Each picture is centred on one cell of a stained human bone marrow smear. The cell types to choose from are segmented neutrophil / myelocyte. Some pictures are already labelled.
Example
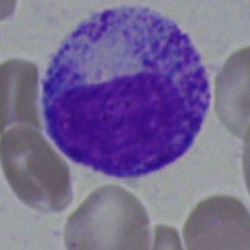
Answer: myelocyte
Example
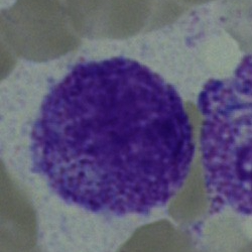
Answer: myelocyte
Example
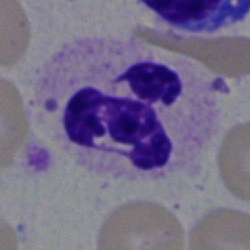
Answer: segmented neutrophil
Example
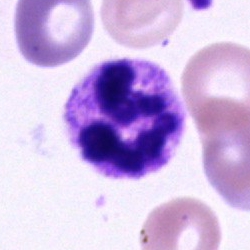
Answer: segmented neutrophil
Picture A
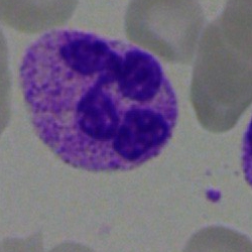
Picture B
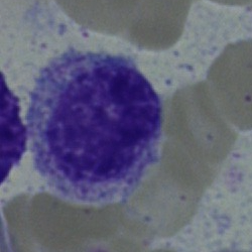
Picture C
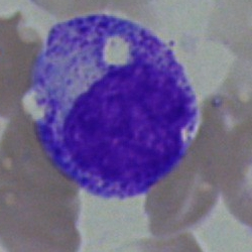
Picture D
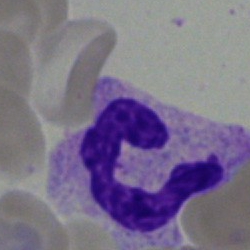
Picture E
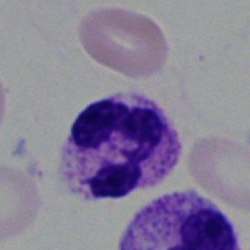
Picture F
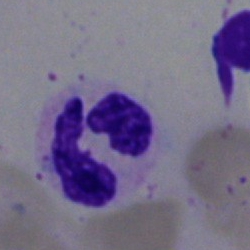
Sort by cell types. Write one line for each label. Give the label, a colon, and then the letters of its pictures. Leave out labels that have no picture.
segmented neutrophil: A, D, E, F
myelocyte: B, C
